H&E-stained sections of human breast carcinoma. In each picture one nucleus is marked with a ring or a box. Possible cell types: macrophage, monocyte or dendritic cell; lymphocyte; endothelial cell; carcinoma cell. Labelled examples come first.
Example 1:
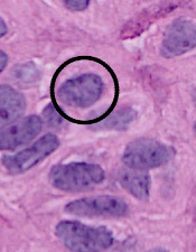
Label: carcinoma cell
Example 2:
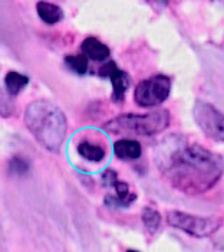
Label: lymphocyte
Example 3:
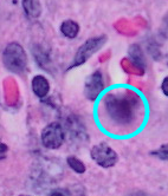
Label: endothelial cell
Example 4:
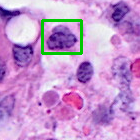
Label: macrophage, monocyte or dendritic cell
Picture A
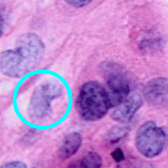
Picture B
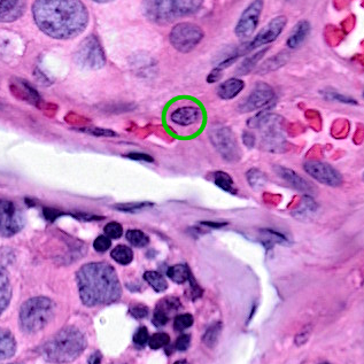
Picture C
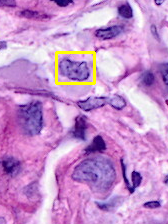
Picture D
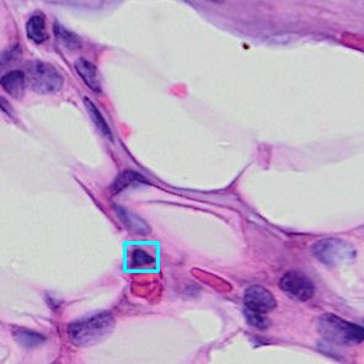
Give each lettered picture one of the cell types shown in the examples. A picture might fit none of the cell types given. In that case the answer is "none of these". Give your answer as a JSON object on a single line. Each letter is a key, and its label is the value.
{"A": "carcinoma cell", "B": "none of these", "C": "macrophage, monocyte or dendritic cell", "D": "endothelial cell"}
